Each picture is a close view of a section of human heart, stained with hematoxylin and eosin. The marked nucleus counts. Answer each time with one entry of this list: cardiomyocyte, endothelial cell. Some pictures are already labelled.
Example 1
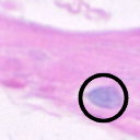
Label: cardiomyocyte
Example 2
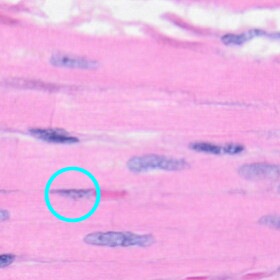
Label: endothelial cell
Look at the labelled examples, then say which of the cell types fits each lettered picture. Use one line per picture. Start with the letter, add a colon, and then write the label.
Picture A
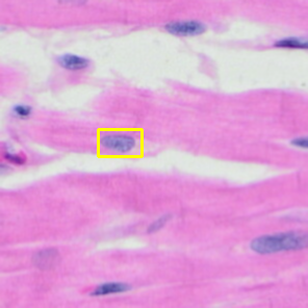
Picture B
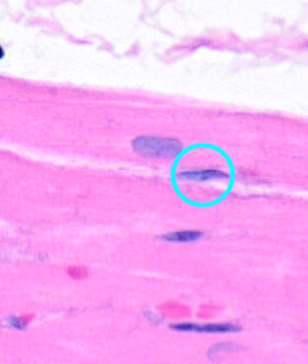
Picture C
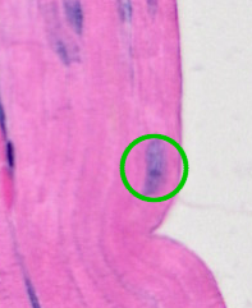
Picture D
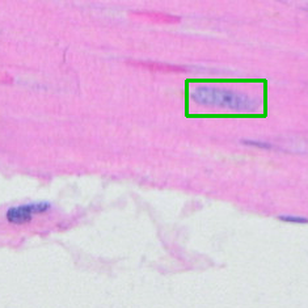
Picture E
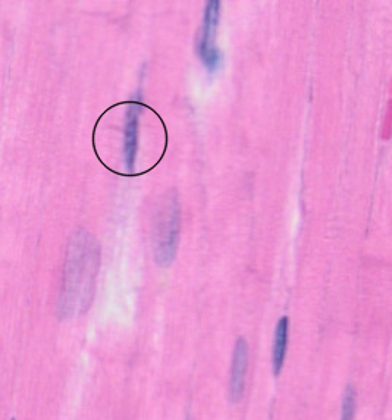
A: cardiomyocyte
B: endothelial cell
C: cardiomyocyte
D: cardiomyocyte
E: endothelial cell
